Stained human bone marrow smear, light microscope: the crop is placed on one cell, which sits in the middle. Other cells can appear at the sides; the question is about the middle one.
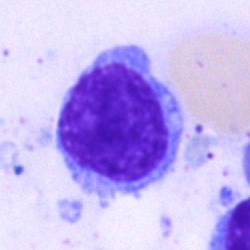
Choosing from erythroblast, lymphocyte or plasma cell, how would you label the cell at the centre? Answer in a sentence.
Seen at the centre of the crop is a lymphocyte.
